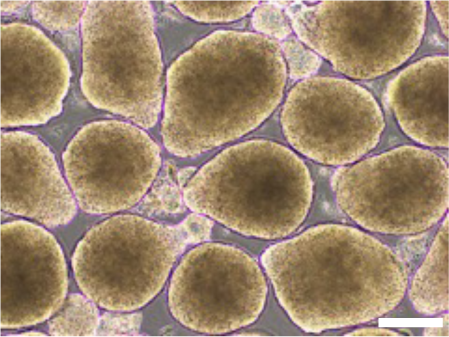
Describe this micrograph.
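The aggregates are large, rounded to oval or slightly polygonal where they press against each other, and appear brown-golden with a darker, denser centre and a finely granular texture; single cells are not resolved within them. Each aggregate has a smooth, bright, sharply defined rim. Between the aggregates lies a grey background with a few small, pale, loosely clustered fragments of cells, but no large amount of loose debris.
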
